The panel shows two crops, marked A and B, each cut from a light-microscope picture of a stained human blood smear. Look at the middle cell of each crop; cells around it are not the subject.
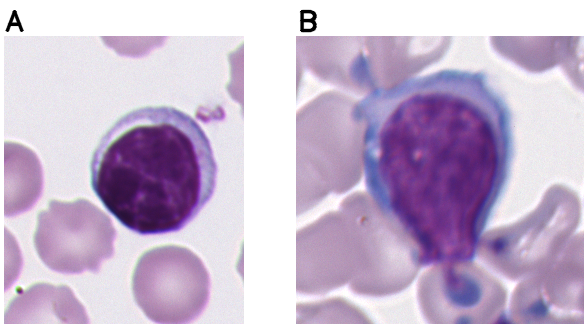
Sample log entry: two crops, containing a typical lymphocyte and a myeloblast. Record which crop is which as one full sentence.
Crop A is occupied by a typical lymphocyte, and crop B is occupied by a myeloblast.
